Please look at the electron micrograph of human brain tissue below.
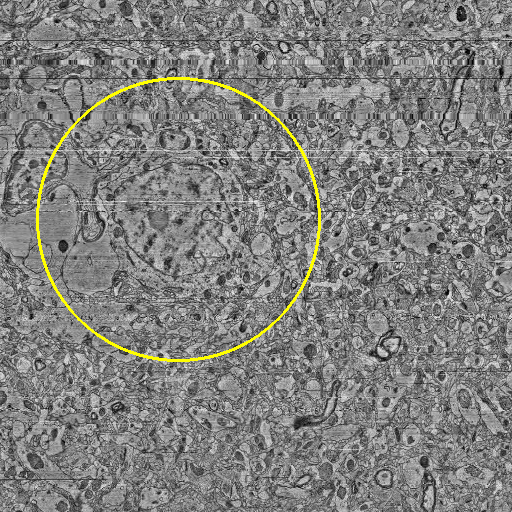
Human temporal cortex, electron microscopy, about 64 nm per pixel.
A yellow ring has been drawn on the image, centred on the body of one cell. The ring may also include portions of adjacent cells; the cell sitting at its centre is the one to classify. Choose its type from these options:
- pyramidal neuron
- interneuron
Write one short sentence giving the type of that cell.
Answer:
The cell in the middle of the ring is an interneuron.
